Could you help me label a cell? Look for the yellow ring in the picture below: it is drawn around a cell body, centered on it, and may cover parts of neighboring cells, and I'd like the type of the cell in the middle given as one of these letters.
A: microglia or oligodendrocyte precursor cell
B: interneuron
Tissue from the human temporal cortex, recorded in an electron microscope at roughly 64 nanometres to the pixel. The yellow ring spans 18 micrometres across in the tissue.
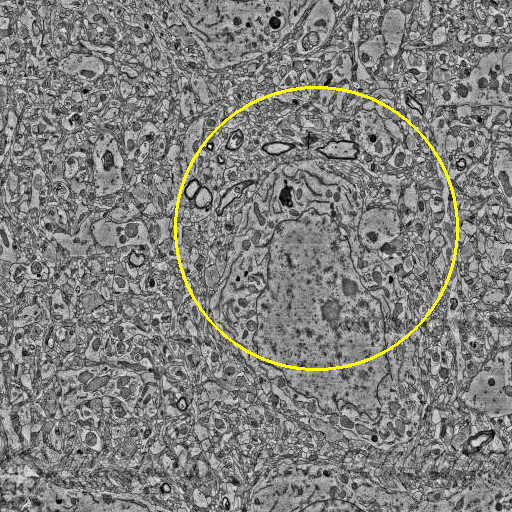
B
